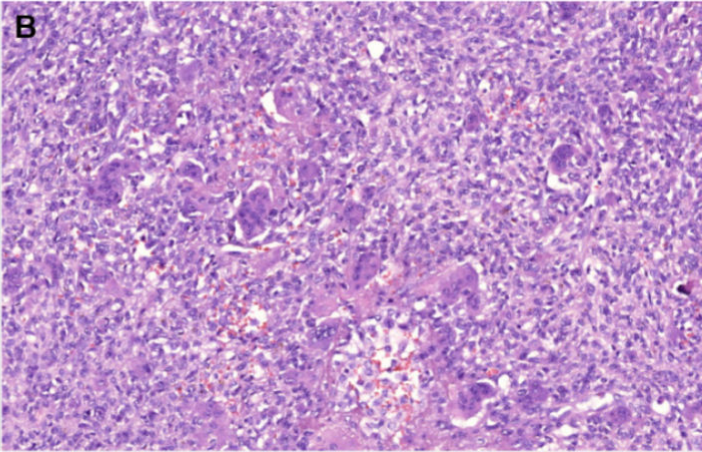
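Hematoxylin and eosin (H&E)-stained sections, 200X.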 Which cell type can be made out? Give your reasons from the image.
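Giant osteoclast-like multinucleated cells. Large cells with many nuclei clustered within one cytoplasm are scattered across the field. These giant cells have abundant pink cytoplasm. They lie among much smaller mononuclear cells.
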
